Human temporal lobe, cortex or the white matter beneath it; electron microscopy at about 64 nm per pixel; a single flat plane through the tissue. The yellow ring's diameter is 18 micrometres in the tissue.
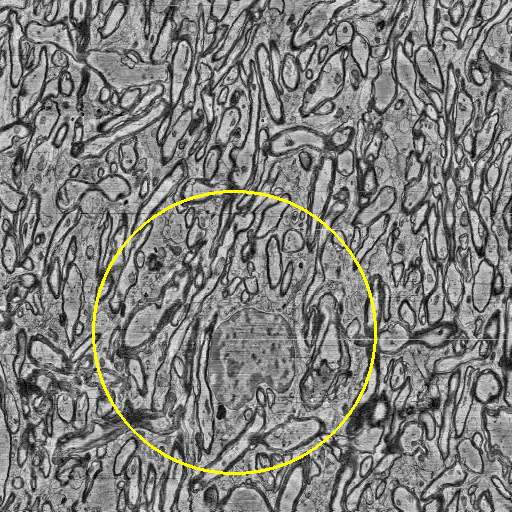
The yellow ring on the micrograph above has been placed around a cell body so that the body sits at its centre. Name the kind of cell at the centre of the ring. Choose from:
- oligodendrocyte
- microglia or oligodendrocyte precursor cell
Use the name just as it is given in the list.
microglia or oligodendrocyte precursor cell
